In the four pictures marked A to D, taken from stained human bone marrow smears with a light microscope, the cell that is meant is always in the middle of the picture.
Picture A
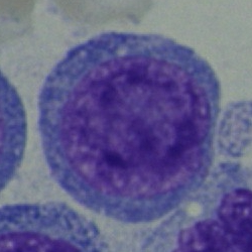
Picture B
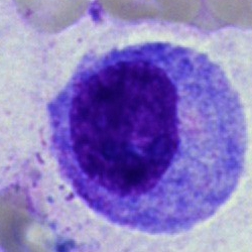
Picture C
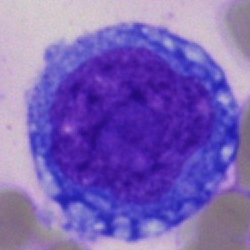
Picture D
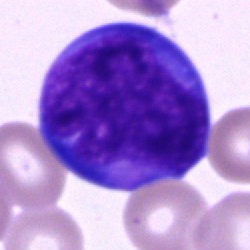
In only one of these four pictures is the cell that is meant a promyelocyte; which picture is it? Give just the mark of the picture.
B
